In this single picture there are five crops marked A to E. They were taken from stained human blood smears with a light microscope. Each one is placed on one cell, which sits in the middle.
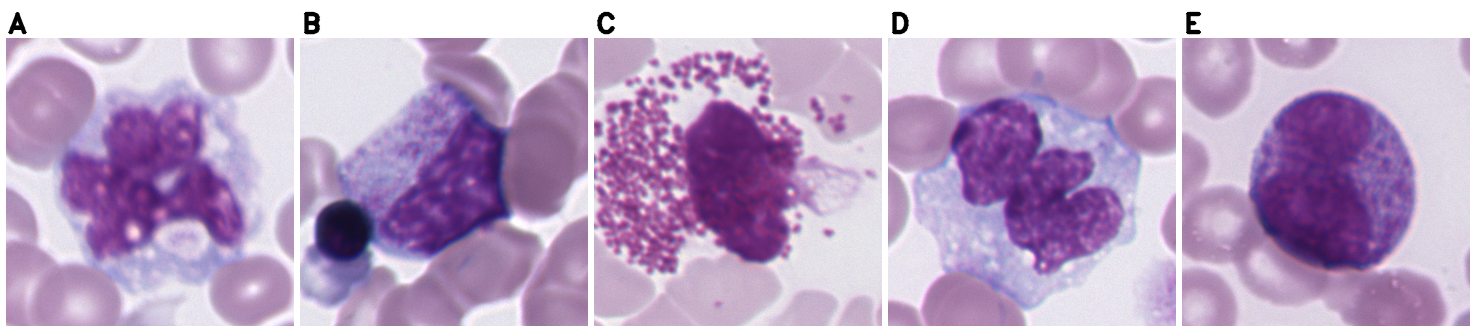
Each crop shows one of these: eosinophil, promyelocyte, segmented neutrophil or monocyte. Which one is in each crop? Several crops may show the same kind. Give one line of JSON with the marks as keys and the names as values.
{"A": "monocyte", "B": "promyelocyte", "C": "eosinophil", "D": "monocyte", "E": "promyelocyte"}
